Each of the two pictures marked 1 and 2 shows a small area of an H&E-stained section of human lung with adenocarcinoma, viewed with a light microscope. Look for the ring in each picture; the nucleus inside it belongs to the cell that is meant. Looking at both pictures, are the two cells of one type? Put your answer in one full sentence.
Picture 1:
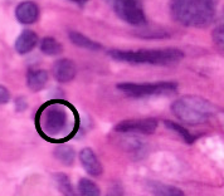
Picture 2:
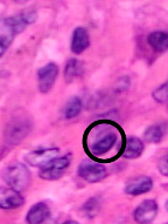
No. Picture 1 shows a plasma cell, but picture 2 shows a lymphocyte.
